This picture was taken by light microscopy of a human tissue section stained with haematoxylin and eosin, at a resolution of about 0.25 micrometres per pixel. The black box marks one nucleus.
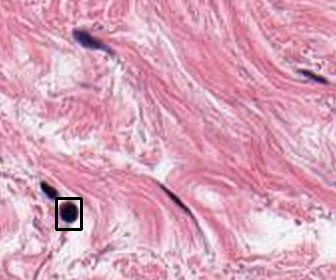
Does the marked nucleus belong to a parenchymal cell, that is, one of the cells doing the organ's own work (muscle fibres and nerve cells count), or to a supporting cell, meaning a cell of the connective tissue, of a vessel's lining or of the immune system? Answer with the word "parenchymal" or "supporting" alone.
supporting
